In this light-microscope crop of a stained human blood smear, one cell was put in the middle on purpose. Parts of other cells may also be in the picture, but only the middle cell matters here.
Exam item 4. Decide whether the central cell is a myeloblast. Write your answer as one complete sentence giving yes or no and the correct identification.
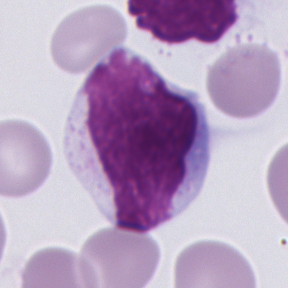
No, it is not a myeloblast that lies in the middle but a large granular lymphocyte.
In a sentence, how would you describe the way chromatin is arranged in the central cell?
The chromatin is fine throughout, without coarse clumps.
